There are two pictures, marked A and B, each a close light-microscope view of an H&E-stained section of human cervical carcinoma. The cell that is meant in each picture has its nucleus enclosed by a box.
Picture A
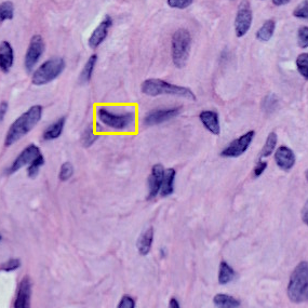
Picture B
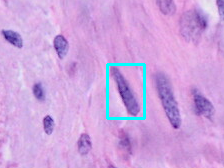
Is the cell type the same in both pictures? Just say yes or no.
yes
